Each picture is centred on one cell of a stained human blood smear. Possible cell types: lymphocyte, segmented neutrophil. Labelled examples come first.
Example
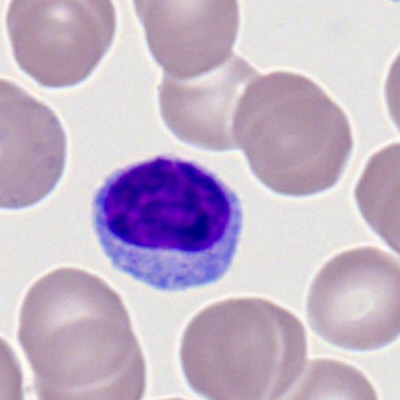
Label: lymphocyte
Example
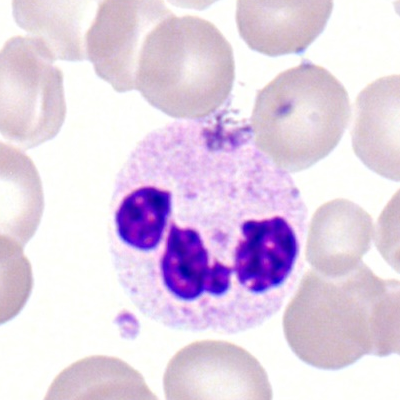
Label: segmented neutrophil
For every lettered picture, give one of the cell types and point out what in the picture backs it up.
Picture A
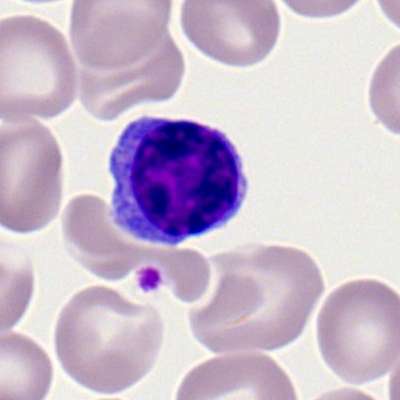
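Answer: lymphocyte. The cytoplasm forms a narrow rim that is widest on the left side.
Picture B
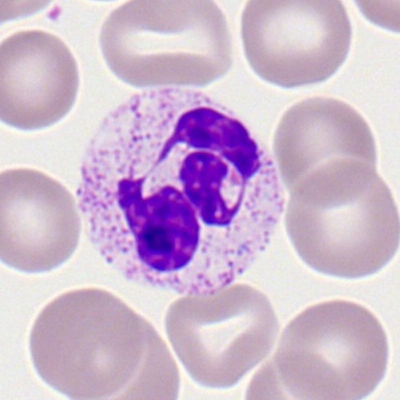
Answer: segmented neutrophil. The nucleus is divided into several lobes.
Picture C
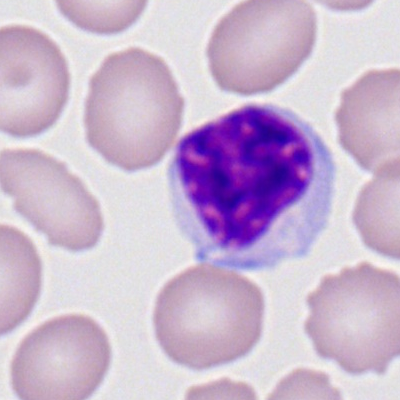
Answer: lymphocyte. The nucleus fills most of the cell.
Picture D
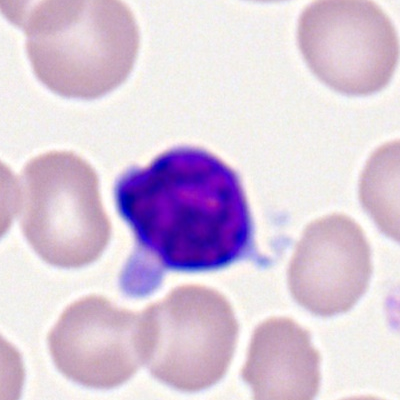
Answer: lymphocyte. The nucleus fills almost the whole cell, leaving only a very thin rim of cytoplasm.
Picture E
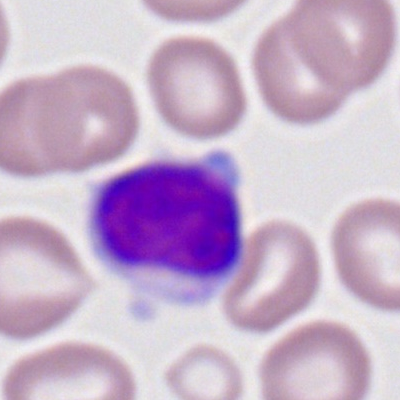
Answer: lymphocyte. The nucleus fills most of the cell.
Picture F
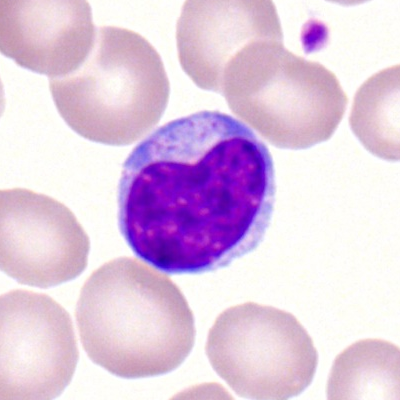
Answer: lymphocyte. The nucleus has a single notch in its upper edge, giving it a bean shape.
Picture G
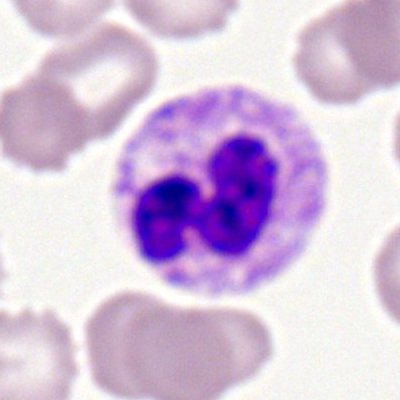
Answer: segmented neutrophil. The cytoplasm is abundant and pale lilac-pink.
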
